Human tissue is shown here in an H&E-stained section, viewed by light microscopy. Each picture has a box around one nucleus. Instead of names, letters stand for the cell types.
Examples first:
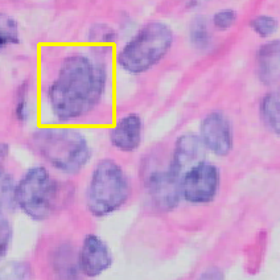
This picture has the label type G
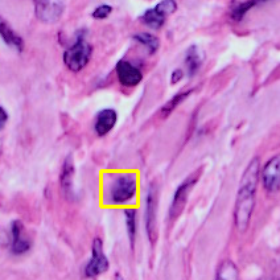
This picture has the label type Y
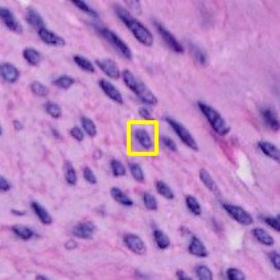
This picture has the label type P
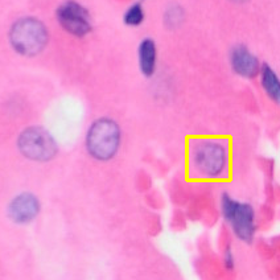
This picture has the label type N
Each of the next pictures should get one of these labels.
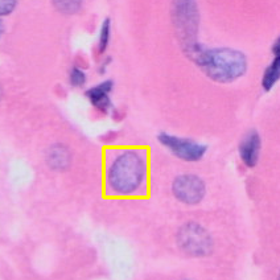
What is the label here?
type N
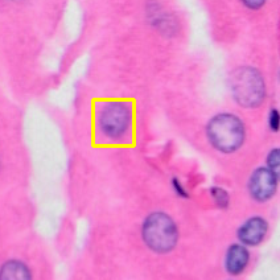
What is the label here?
type N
